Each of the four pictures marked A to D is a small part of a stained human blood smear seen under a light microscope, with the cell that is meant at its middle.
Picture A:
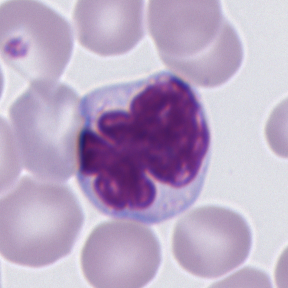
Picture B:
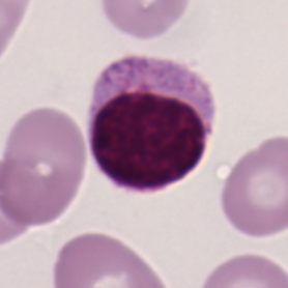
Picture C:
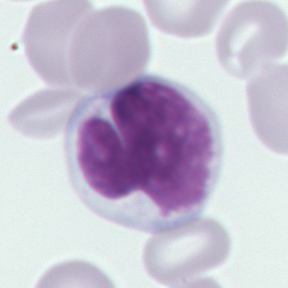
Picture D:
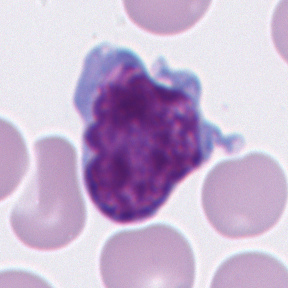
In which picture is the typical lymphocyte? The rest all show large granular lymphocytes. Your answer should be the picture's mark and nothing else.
D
